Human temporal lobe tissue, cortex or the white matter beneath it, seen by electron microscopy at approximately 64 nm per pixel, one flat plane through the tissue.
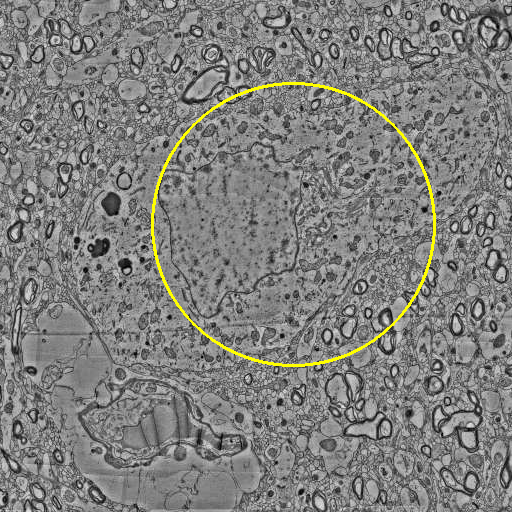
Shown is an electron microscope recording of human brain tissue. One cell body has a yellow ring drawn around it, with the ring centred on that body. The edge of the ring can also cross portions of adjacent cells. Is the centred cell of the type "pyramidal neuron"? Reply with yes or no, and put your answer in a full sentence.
Yes, in the picture, the cell on which the ring is centred has this type.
